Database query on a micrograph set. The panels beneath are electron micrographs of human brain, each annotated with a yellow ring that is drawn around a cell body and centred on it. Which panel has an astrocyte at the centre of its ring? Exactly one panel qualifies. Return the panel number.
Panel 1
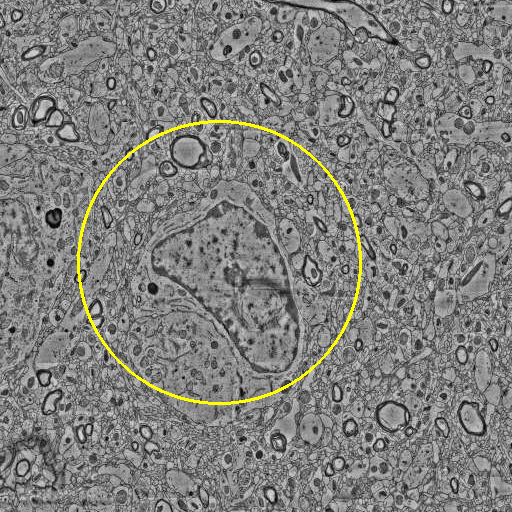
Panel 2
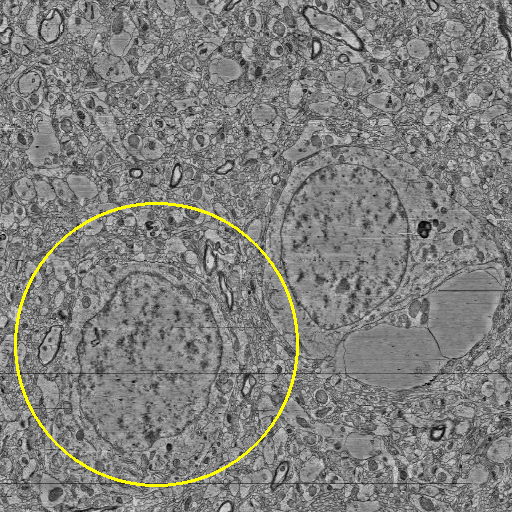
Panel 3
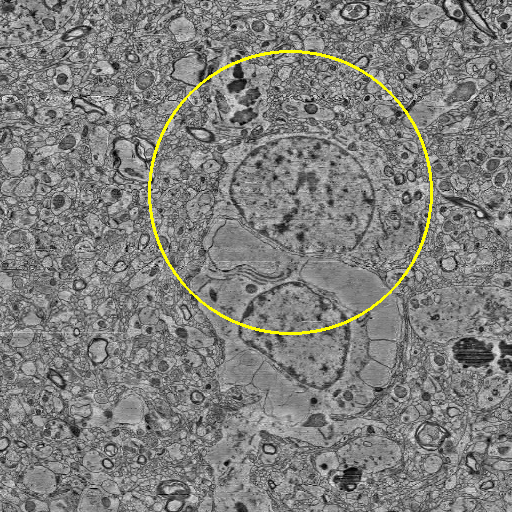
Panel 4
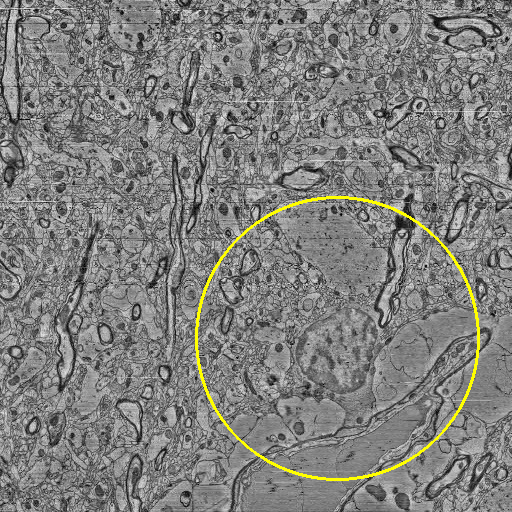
3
